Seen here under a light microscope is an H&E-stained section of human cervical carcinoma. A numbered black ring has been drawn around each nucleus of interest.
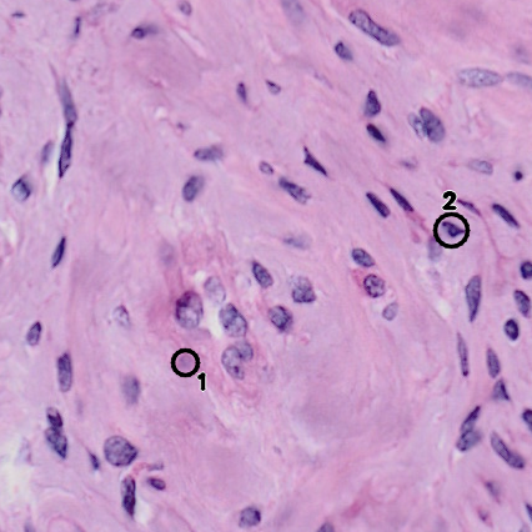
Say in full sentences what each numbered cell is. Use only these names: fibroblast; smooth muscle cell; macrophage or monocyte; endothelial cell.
Cell 1 is a smooth muscle cell and cell 2 is a fibroblast.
